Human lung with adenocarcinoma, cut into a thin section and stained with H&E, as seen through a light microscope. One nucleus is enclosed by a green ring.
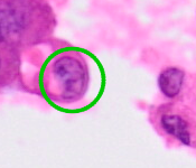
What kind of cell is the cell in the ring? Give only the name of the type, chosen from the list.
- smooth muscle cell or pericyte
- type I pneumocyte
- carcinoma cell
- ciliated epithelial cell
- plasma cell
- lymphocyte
carcinoma cell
